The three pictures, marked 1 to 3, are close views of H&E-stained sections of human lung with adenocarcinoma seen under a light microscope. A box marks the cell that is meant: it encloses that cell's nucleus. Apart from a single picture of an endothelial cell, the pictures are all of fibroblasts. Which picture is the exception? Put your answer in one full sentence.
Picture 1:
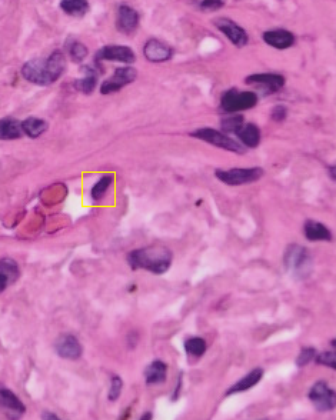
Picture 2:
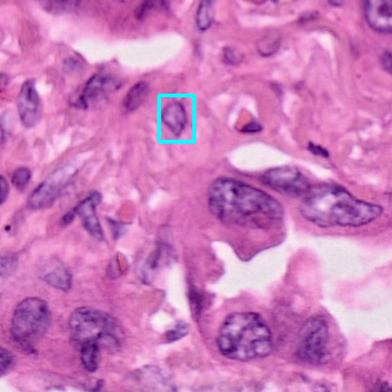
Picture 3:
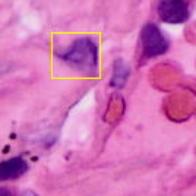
The endothelial cell is the one in picture 1.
